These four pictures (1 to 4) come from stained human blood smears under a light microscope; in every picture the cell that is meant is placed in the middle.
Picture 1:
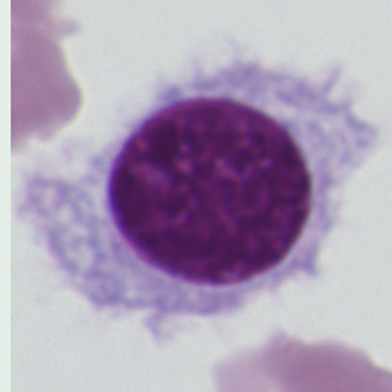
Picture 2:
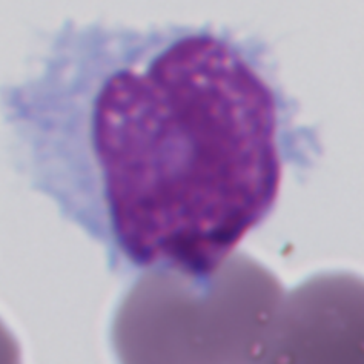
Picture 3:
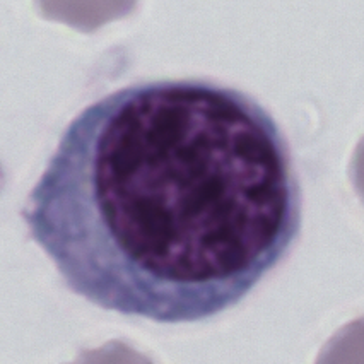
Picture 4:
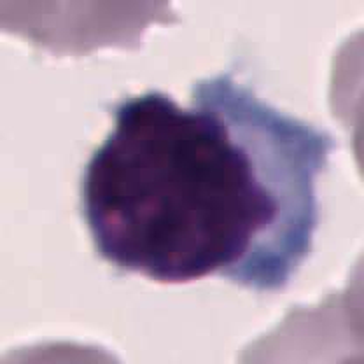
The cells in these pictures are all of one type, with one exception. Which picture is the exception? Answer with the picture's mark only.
3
